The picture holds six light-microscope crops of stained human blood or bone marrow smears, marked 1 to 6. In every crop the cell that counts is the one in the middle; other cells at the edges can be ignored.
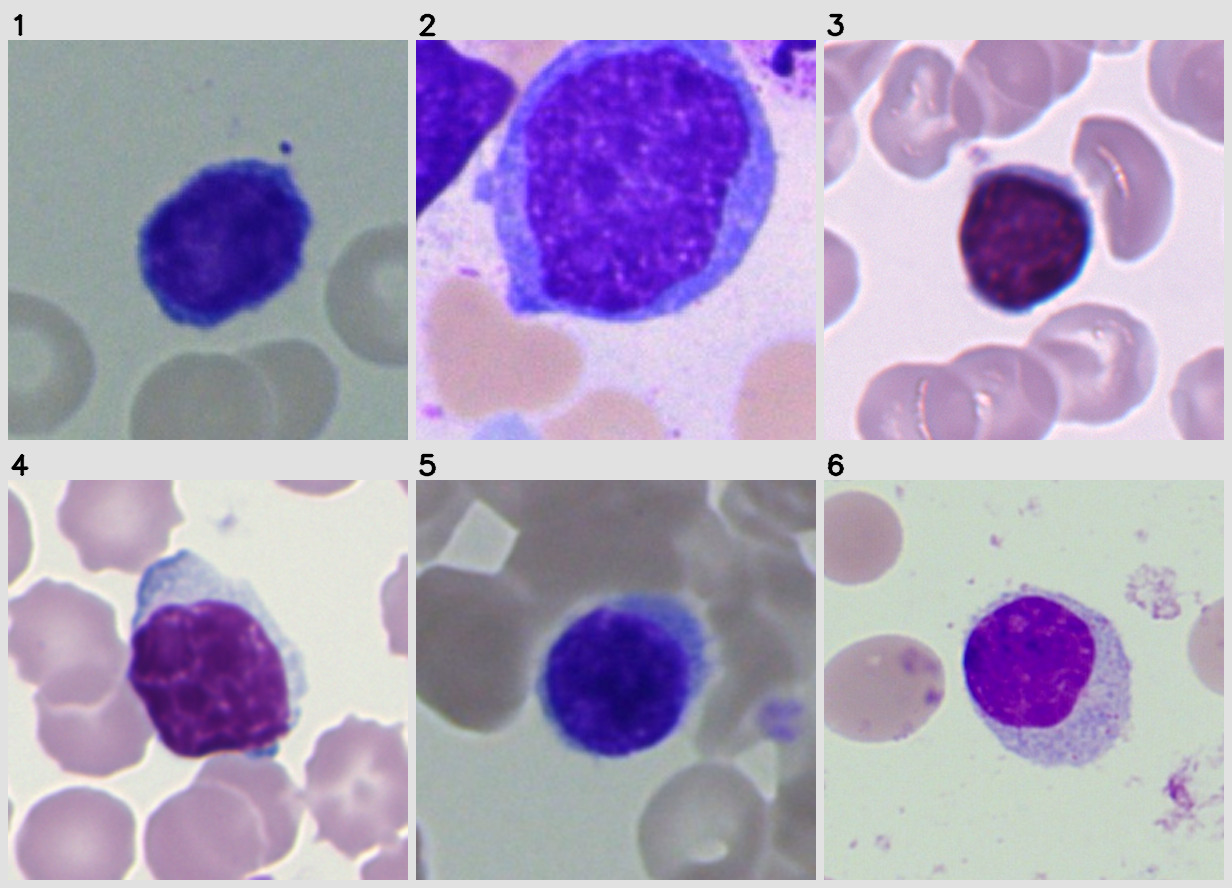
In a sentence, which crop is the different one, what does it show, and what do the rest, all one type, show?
Among these crops, lymphocytes occur in all but crop 2, which contains a blast.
